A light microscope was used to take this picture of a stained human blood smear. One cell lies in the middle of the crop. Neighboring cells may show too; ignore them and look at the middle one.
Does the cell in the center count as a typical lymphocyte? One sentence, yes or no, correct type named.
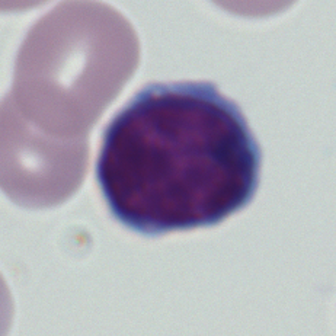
Yes, the cell found in the middle is a typical lymphocyte.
